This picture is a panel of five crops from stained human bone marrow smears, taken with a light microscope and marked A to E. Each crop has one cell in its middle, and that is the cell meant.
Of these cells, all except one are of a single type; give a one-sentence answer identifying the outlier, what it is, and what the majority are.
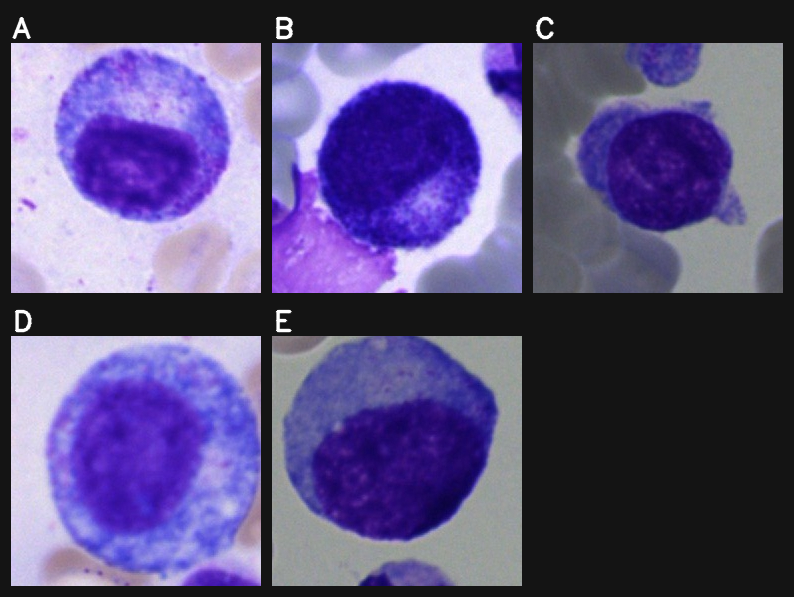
Whereas the other crops show promyelocytes, crop C is a blast.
